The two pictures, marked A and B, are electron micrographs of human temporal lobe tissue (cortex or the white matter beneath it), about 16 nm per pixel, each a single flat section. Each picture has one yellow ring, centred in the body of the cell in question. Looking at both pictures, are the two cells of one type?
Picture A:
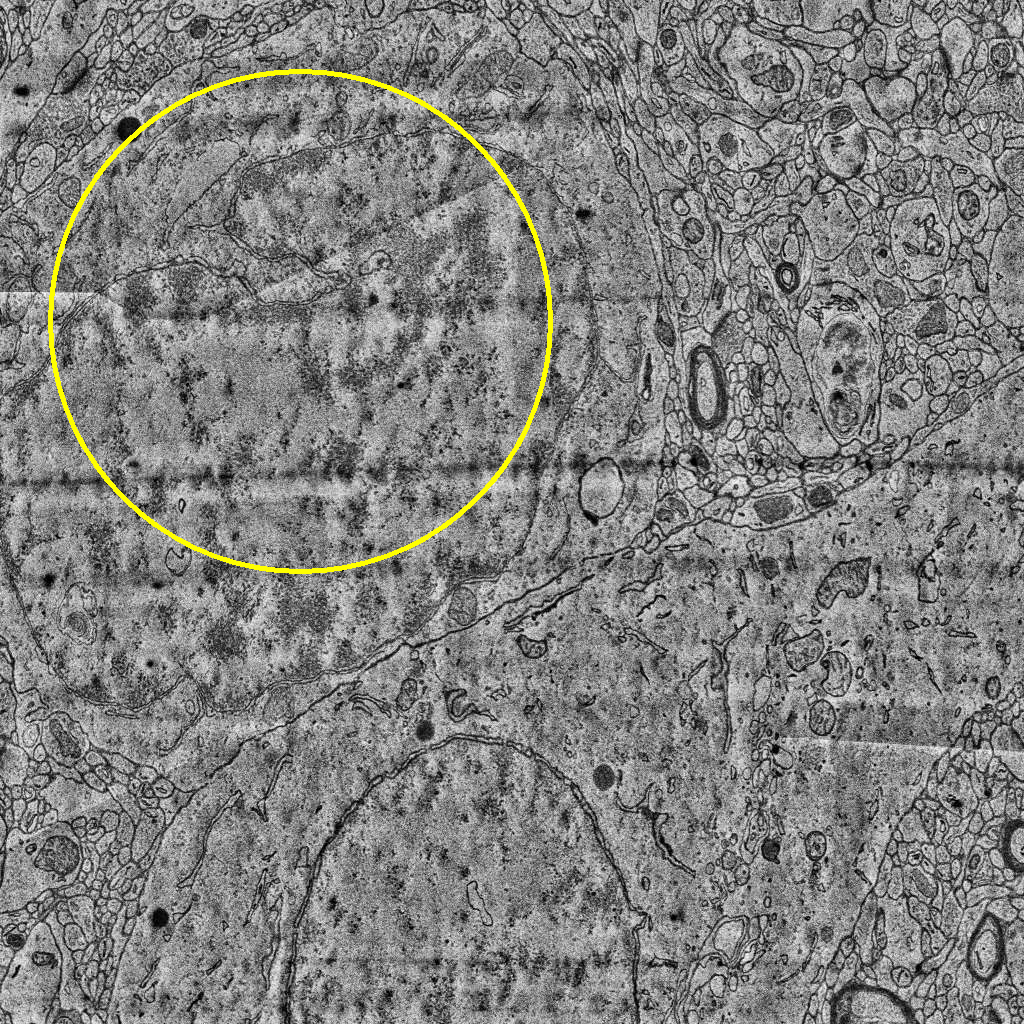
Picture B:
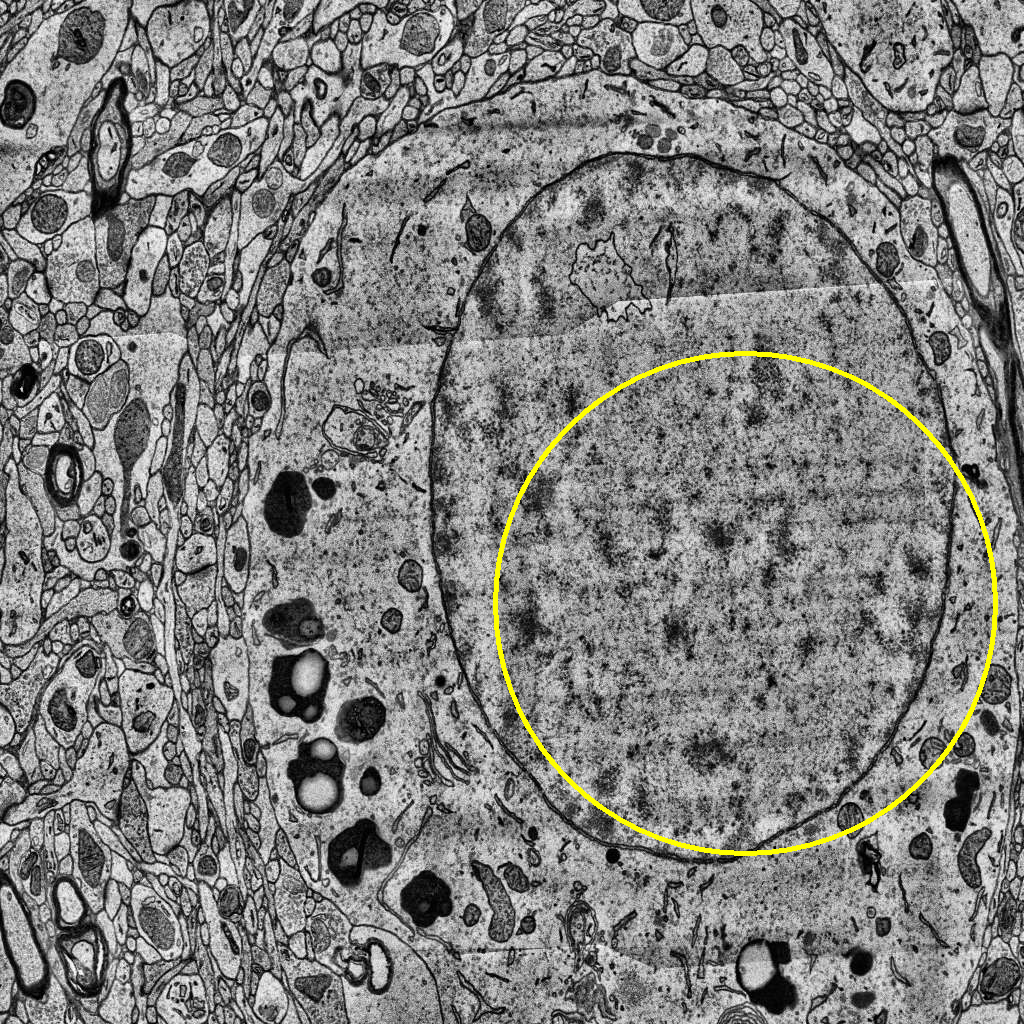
No, they differ: the cell is an interneuron in picture A and a pyramidal neuron in picture B.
